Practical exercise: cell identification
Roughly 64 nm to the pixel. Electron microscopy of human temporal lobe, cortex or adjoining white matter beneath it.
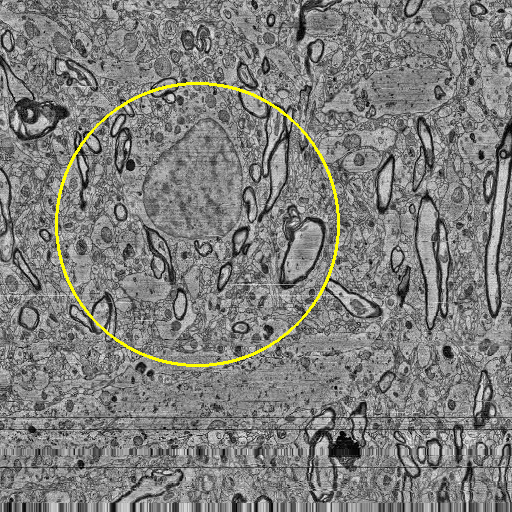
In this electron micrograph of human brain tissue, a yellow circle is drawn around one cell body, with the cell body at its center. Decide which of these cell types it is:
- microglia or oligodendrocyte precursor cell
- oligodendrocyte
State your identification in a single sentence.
The ringed cell is an oligodendrocyte.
